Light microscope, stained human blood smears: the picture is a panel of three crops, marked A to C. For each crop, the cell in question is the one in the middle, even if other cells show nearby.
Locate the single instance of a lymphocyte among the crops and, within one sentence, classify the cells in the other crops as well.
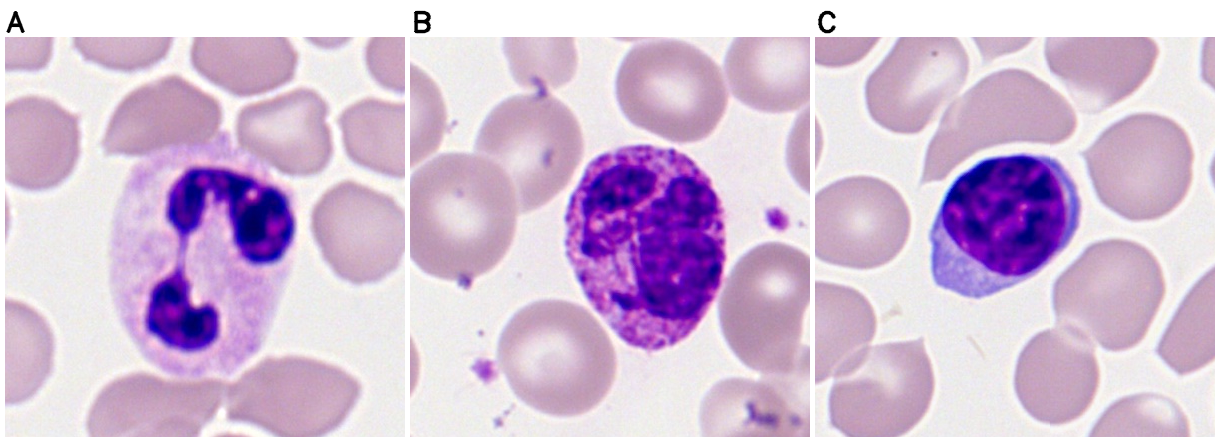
The labels are: crop C is a lymphocyte, and crop A is a neutrophil and crop B is a basophil.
